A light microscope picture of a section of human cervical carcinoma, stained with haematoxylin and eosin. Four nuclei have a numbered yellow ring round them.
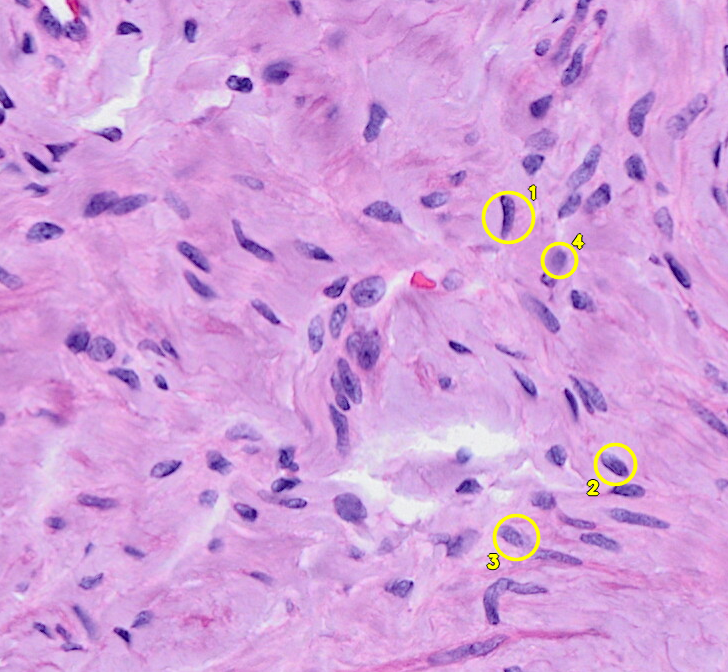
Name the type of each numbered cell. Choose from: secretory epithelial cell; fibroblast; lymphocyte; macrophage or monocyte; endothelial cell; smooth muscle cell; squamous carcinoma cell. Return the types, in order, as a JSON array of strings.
["fibroblast", "fibroblast", "smooth muscle cell", "fibroblast"]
